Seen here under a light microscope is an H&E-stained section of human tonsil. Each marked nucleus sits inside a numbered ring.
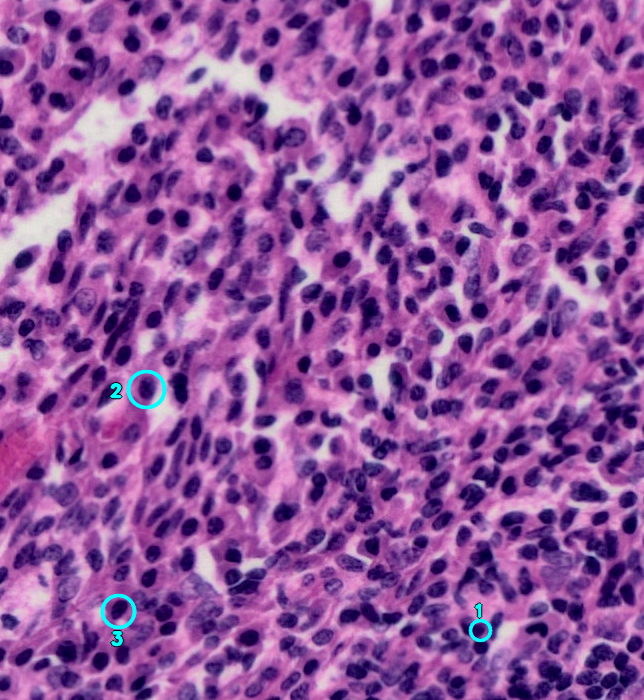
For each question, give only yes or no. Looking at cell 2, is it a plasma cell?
yes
